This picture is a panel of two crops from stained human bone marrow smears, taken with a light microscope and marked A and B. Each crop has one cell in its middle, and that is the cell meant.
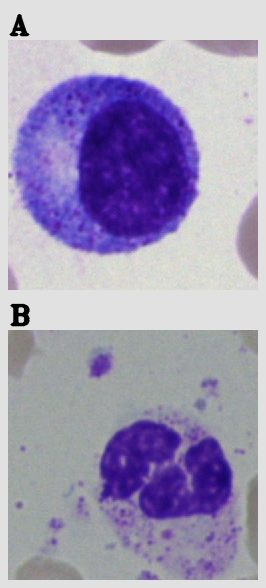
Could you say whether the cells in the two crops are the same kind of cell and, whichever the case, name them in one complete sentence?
No, on this set crop A shows a promyelocyte and crop B shows a basophil.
